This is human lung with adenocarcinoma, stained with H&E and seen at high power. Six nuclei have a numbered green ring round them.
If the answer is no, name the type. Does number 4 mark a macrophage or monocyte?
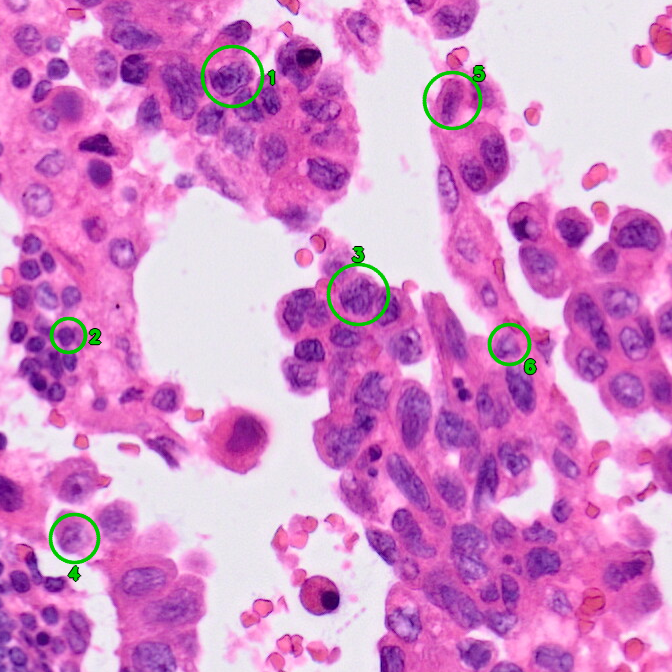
No, it is a carcinoma cell.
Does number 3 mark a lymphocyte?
No, it is a carcinoma cell.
